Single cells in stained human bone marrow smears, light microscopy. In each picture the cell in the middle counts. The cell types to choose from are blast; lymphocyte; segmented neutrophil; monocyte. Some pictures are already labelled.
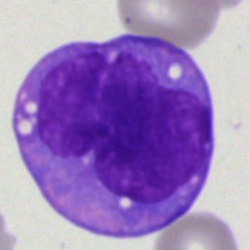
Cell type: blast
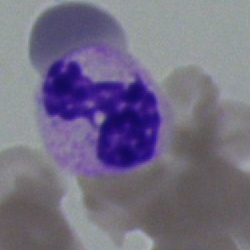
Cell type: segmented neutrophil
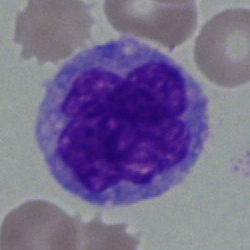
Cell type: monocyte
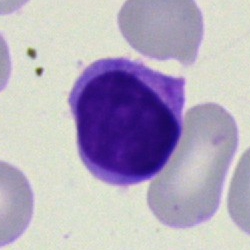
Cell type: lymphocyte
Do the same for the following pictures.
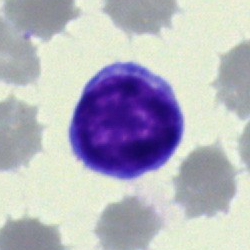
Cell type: lymphocyte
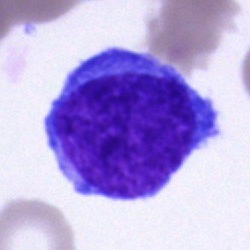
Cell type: blast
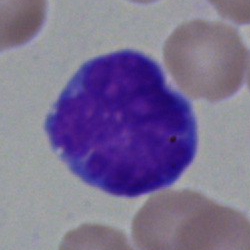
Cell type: blast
